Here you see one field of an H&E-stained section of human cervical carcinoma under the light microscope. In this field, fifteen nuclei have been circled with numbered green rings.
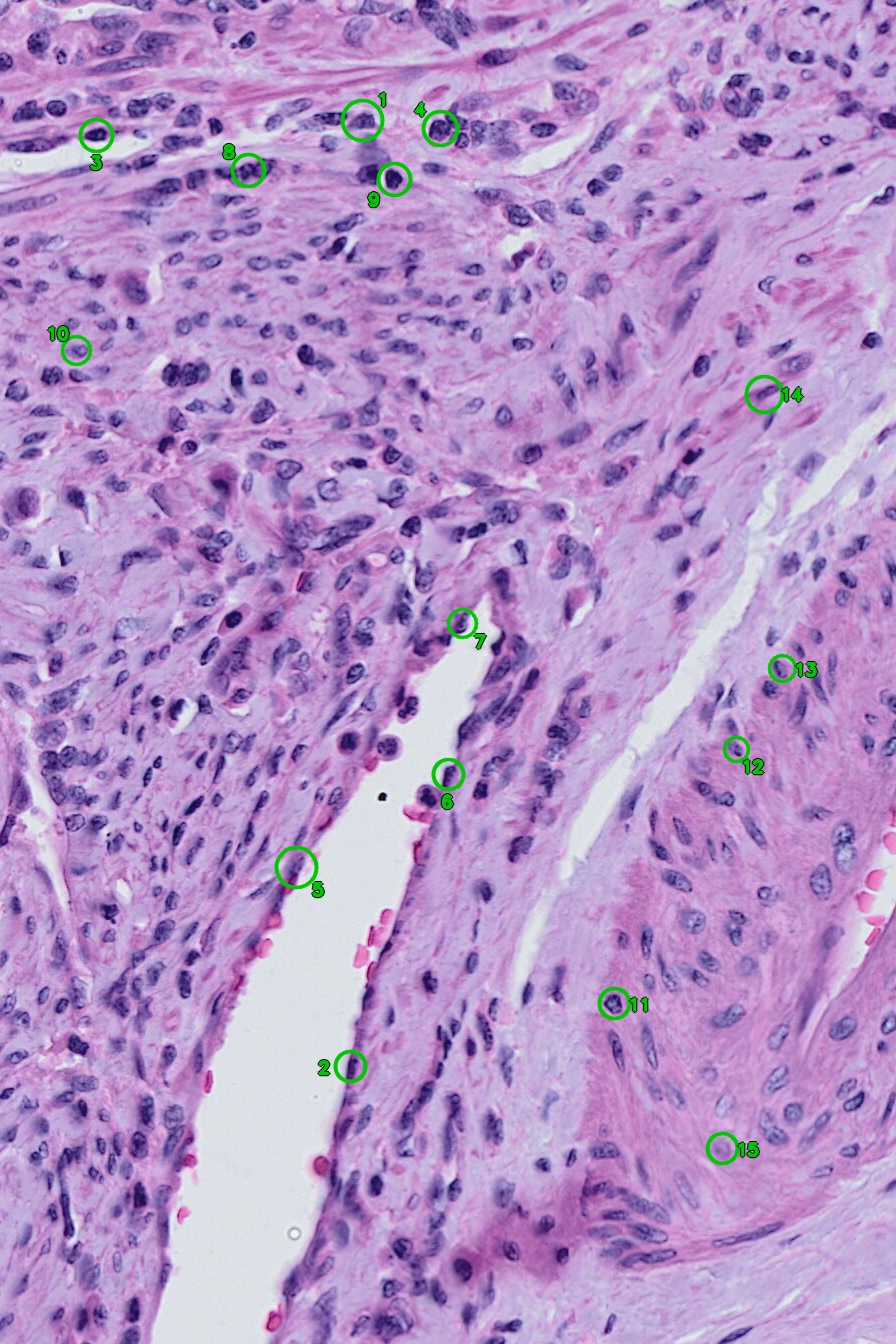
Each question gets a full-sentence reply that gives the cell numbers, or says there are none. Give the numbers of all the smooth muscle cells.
Cells 10, 11, 12, 13, 14 and 15 are recognised here as smooth muscle cells.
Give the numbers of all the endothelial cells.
The cells with numbers 2, 5, 6 and 7 are endothelial cells by type.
